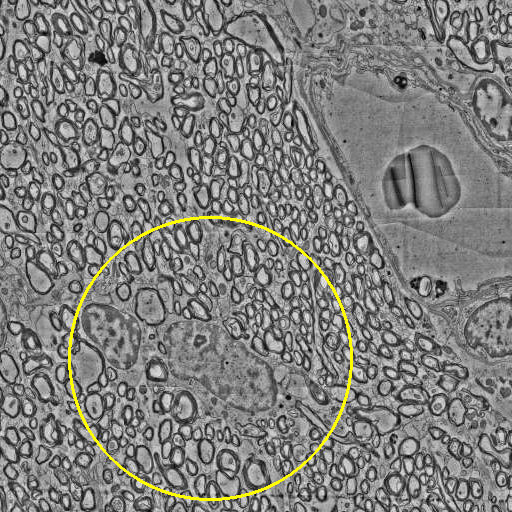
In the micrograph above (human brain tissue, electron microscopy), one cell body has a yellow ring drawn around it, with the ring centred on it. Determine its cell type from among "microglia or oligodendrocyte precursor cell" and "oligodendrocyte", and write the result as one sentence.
The cell whose body is ringed is an oligodendrocyte.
